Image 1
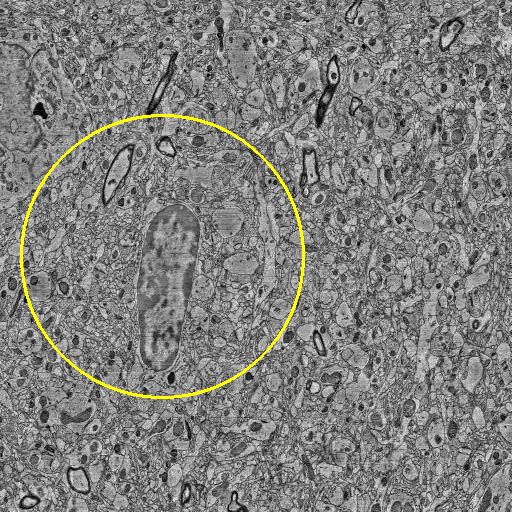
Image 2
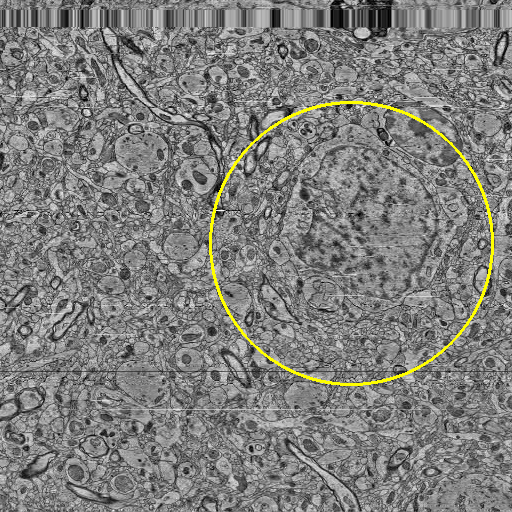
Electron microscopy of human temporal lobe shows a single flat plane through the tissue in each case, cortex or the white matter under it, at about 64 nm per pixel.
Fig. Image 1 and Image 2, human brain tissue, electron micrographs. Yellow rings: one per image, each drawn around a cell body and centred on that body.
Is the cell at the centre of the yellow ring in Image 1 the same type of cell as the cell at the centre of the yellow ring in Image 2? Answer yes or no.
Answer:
no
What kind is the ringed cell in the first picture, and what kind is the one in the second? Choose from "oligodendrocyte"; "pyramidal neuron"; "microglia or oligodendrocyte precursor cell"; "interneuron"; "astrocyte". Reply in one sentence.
The first cell is a microglial cell or oligodendrocyte precursor cell; the second is an interneuron.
